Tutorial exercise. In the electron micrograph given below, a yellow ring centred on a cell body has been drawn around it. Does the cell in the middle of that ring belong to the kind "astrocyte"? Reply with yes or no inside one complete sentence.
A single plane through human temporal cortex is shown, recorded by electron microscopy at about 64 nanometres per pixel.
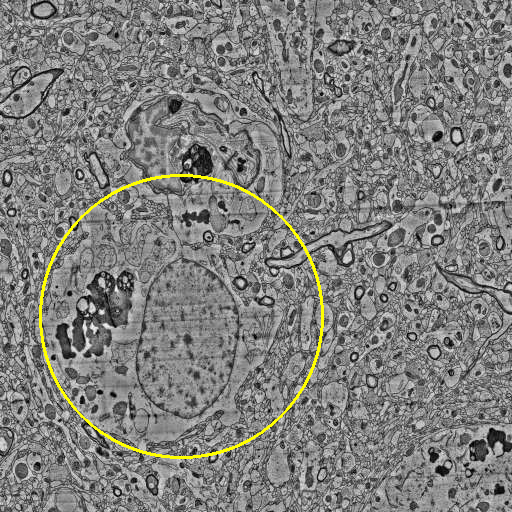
Yes, the cell at the centre of the ring in the picture is of that kind.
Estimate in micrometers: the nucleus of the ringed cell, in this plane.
Approximately 10 by 7 micrometers in this plane.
